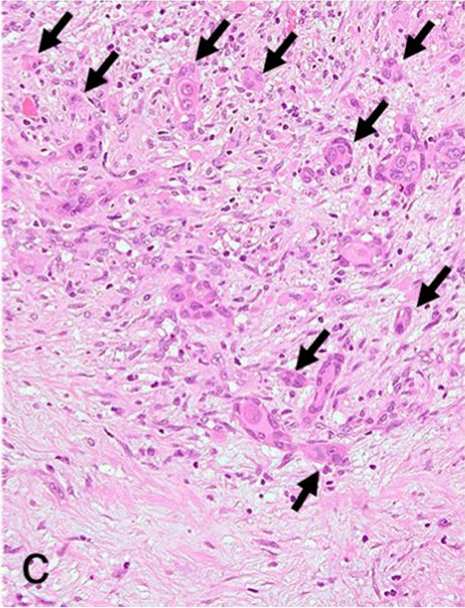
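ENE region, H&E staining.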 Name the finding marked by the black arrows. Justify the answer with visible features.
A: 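Each arrow points to a single tumor cell or a small cluster of a few tumor cells lying apart in the stroma. The marked cells are larger than the surrounding stromal cells and have abundant pink cytoplasm and large nuclei.
Conclusion: budding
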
